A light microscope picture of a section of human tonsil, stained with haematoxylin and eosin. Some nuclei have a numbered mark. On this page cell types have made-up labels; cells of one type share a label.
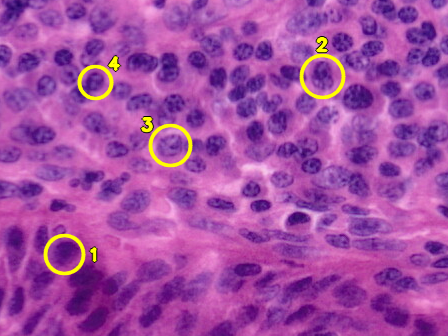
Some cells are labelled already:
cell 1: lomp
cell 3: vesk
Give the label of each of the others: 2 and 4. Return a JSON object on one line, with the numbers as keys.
{"2": "vesk", "4": "vesk"}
